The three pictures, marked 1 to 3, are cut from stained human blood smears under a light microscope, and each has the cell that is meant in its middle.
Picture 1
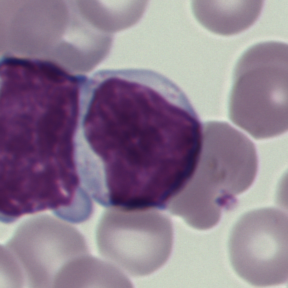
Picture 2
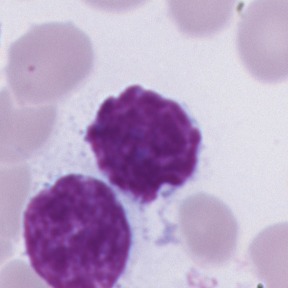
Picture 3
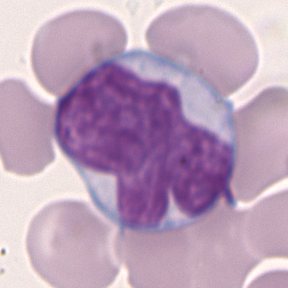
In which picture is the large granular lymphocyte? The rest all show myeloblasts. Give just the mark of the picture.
1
